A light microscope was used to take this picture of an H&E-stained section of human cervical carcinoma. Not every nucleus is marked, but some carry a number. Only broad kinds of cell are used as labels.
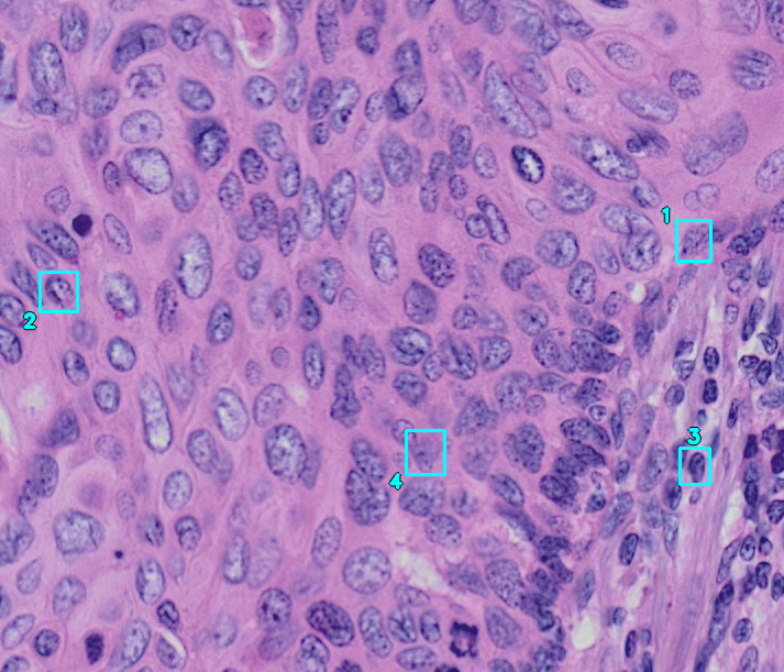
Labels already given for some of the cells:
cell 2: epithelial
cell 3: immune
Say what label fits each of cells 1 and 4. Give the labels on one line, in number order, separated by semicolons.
epithelial; epithelial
